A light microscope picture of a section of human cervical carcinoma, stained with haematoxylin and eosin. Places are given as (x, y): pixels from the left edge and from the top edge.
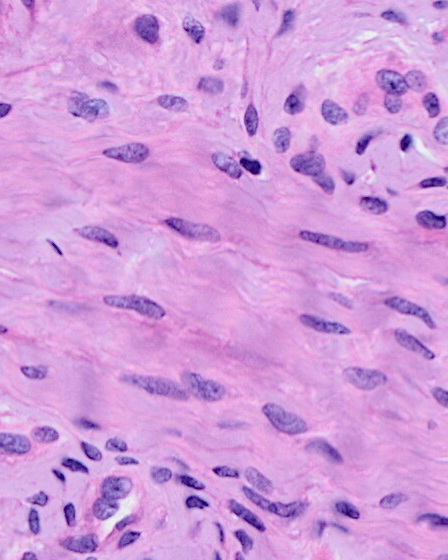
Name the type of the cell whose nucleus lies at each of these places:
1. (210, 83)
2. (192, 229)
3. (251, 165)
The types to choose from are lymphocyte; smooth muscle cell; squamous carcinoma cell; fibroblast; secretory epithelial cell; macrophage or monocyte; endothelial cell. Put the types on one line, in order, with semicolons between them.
fibroblast; fibroblast; lymphocyte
